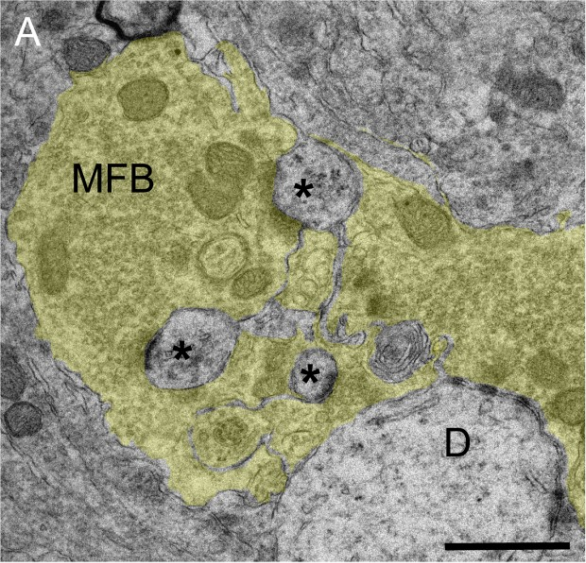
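This electron micrograph shows a single giant presynaptic terminal, tinted yellow, that sprawls across most of the field. Its interior is crowded with synaptic vesicles and contains many oval mitochondria with visible cristae. Several small rounded postsynaptic spine profiles are embedded in the terminal, almost engulfed by it, and each shows dark thickened membrane at its contacts, marking multiple synaptic sites. Thin folded membranes wind between the spines. At lower right a large pale dendrite profile lies against the terminal, and the surrounding neuropil holds further mitochondria and membrane profiles.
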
